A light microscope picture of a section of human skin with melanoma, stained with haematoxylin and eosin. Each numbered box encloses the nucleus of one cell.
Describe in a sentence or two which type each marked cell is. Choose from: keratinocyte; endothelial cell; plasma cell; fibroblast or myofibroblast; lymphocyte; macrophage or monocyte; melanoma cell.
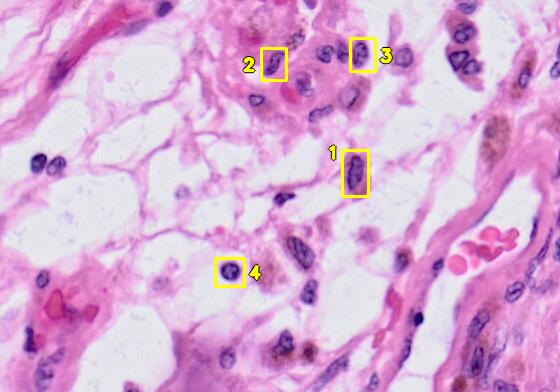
Cells 1, 2 and 3 are macrophages or monocytes. Cell 4 is a lymphocyte.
